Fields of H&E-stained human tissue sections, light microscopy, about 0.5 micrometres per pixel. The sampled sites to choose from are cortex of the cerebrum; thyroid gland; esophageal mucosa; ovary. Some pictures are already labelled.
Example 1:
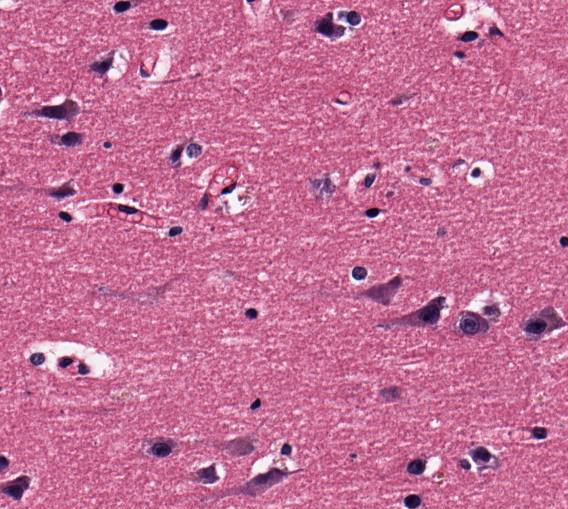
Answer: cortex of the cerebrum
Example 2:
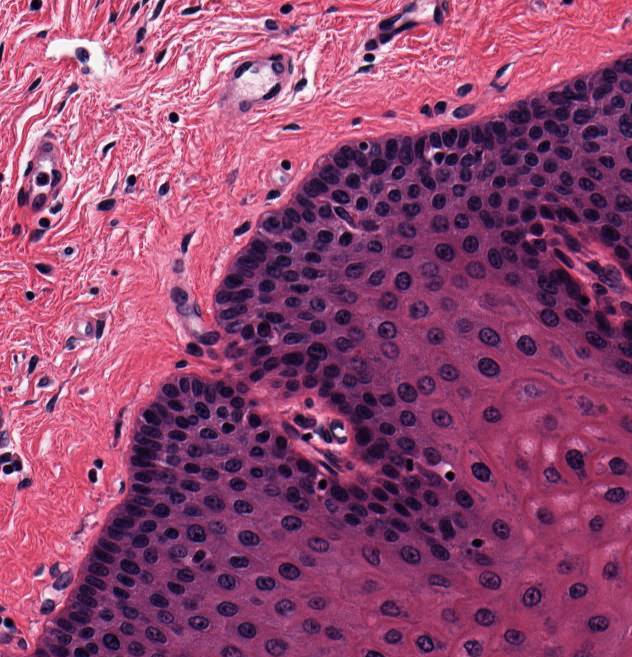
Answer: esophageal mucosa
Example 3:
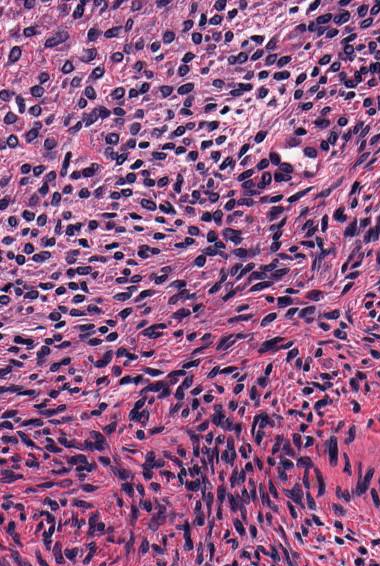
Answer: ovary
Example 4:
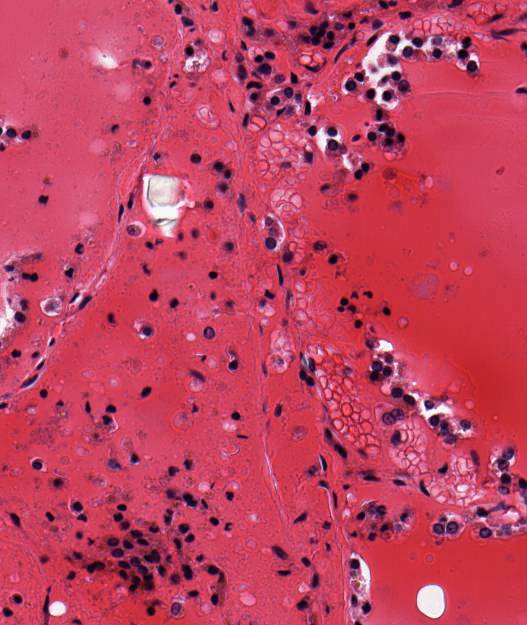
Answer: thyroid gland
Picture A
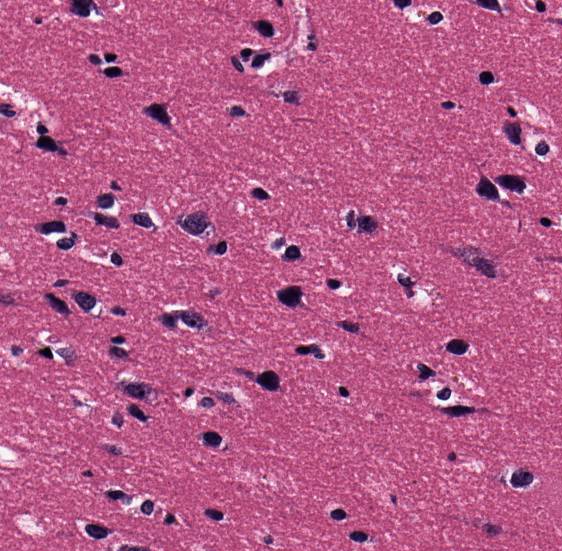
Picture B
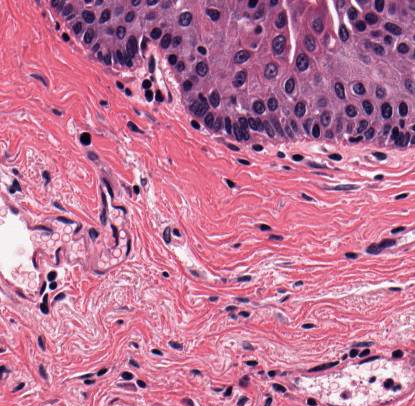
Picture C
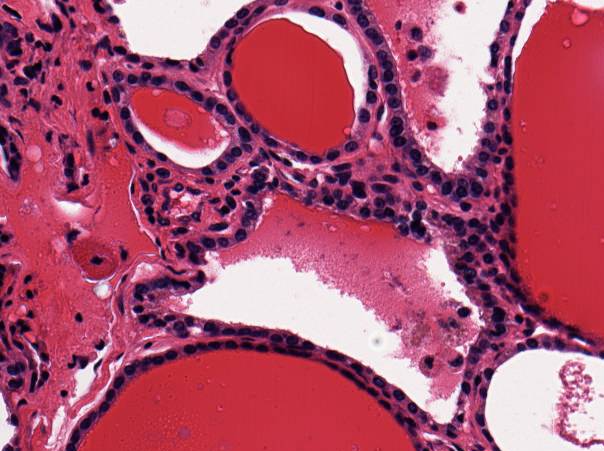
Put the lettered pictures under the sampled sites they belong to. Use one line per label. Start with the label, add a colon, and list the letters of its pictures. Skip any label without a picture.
cortex of the cerebrum: A
thyroid gland: C
esophageal mucosa: B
